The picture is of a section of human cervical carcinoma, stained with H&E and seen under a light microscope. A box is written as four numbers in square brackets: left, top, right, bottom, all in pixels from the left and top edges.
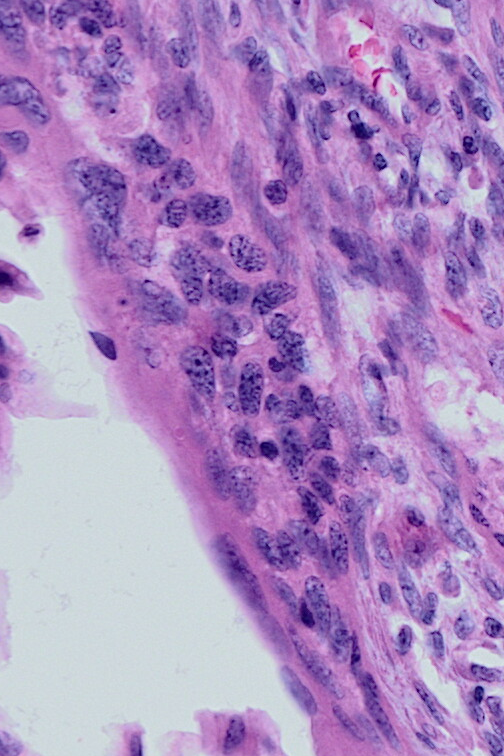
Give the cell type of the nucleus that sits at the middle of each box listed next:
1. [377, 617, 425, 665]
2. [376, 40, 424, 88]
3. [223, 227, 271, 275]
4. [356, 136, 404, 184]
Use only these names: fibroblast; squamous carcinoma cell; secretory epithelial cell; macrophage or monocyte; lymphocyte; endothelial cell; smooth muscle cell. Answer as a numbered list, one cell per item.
1. macrophage or monocyte
2. endothelial cell
3. squamous carcinoma cell
4. lymphocyte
